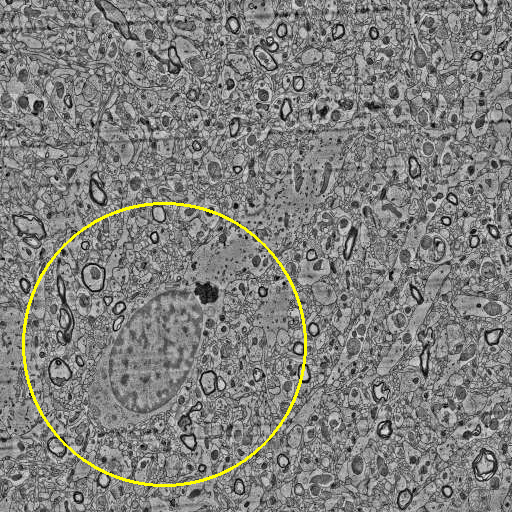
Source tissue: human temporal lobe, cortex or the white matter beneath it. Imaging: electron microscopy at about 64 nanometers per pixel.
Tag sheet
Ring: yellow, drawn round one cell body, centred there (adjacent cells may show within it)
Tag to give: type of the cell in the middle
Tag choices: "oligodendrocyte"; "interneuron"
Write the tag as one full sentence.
I tag the cell centred in the yellow ring as an oligodendrocyte in this picture.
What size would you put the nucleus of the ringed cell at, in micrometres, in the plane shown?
About 8 by 5 micrometres, the nucleus being clearly longer than it is wide in this plane.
